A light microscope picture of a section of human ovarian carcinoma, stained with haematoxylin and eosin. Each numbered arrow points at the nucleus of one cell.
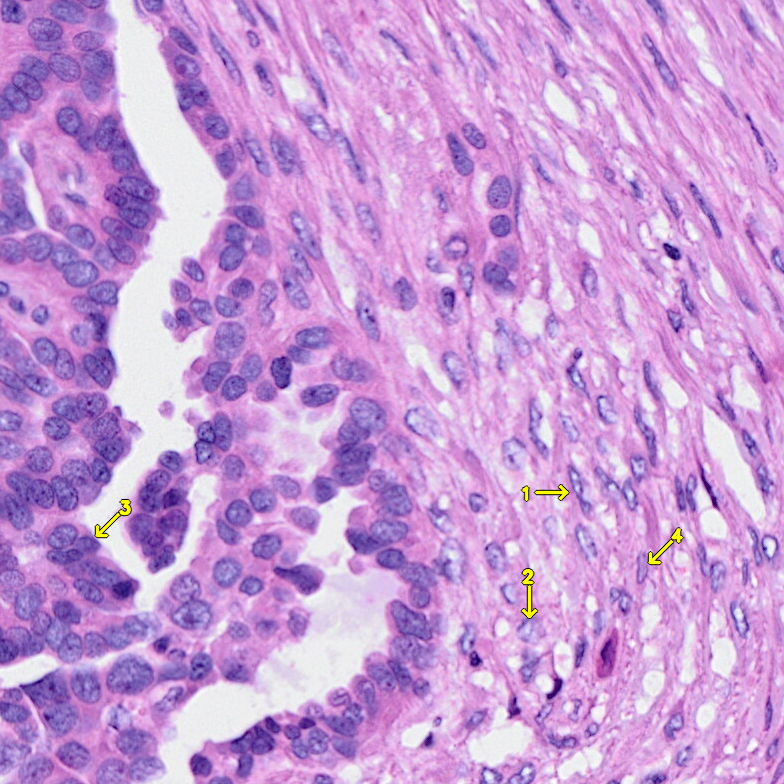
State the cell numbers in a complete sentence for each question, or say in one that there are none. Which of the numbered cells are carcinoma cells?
Just one of the numbered cells is a carcinoma cell, namely number 3.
